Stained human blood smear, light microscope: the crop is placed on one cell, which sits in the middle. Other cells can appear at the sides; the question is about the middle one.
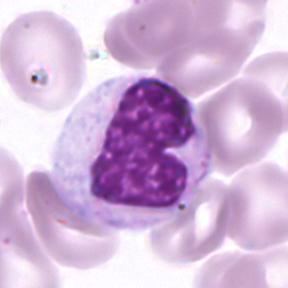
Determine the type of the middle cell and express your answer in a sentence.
The middle position in this crop is taken by a band neutrophil.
